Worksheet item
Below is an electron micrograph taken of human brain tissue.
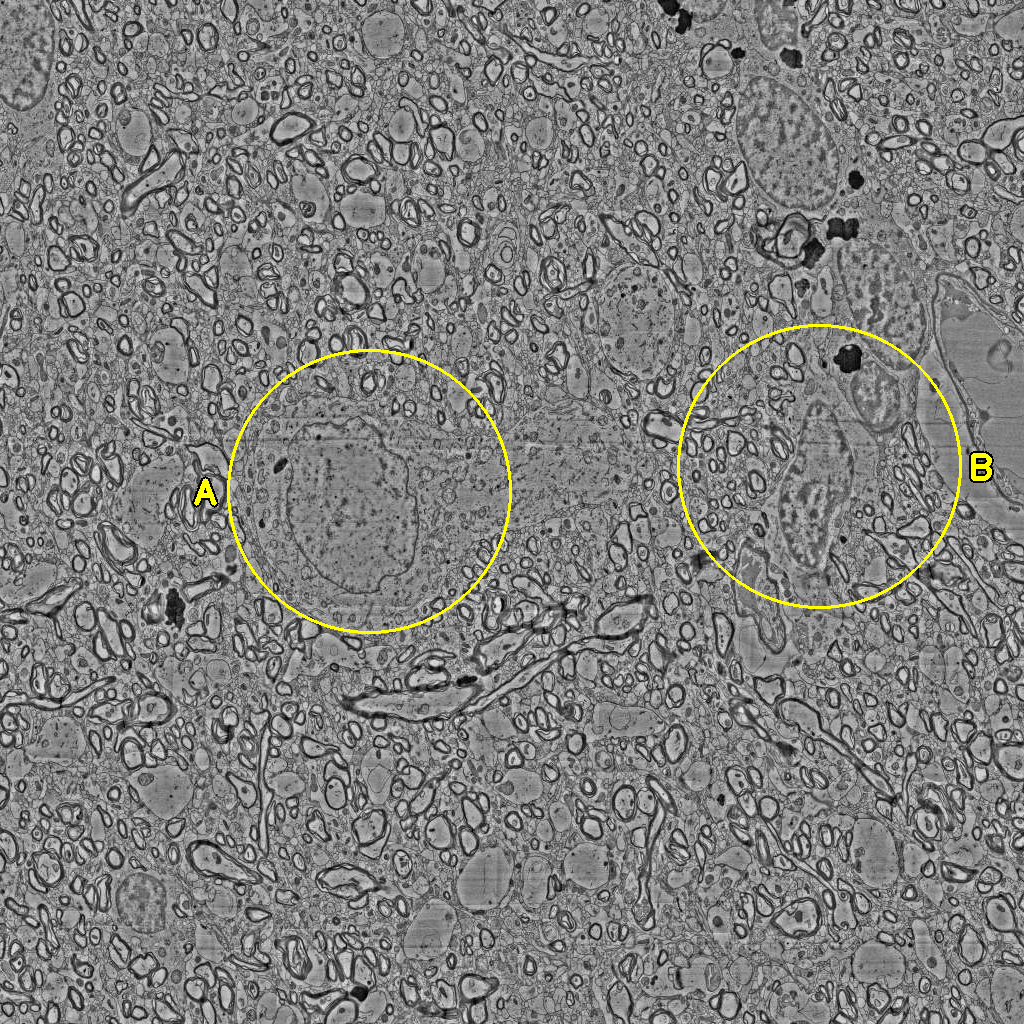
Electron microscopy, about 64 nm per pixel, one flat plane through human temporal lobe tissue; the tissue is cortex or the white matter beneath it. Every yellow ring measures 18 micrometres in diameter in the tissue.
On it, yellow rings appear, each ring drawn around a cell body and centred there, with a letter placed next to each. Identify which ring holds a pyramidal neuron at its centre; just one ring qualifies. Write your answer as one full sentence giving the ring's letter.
Ring A has the cell asked for right at its centre in the picture.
